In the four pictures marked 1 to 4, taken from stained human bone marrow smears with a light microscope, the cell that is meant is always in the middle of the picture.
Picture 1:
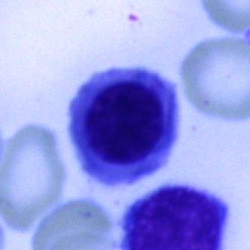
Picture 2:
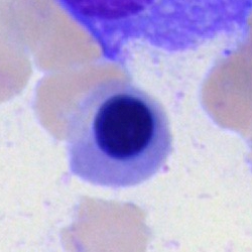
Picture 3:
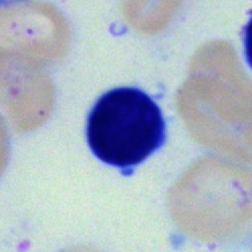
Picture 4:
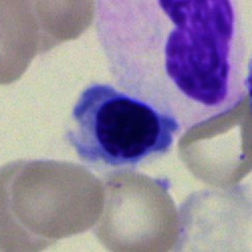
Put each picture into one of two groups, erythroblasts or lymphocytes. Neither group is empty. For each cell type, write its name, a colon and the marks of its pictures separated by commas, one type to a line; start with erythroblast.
erythroblast: 1, 2, 4
lymphocyte: 3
